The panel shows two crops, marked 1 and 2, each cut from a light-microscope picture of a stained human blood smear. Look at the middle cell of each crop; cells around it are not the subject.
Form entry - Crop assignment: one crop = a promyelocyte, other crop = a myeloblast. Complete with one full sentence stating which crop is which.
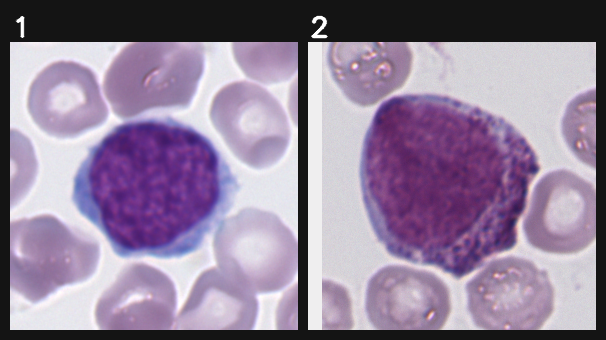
The centred cell is a myeloblast in crop 1 and a promyelocyte in crop 2.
